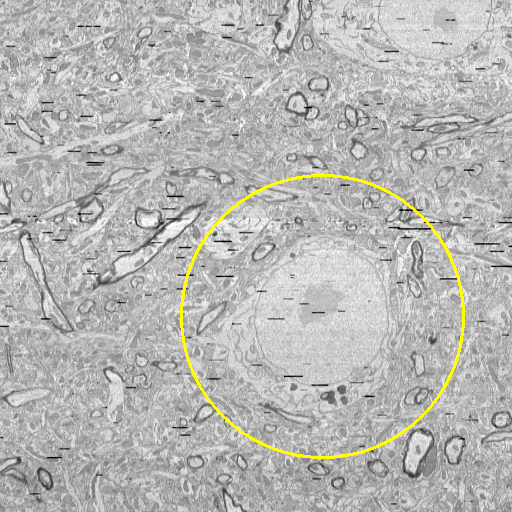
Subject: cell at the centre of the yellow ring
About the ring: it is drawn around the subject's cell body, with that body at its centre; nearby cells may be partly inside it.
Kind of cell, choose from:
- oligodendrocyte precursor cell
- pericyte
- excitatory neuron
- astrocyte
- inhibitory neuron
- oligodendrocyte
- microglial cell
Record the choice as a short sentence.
The subject cell is an inhibitory neuron.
